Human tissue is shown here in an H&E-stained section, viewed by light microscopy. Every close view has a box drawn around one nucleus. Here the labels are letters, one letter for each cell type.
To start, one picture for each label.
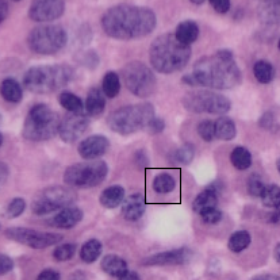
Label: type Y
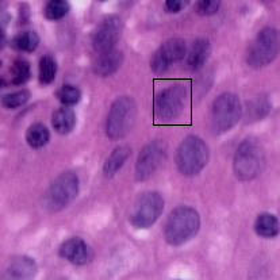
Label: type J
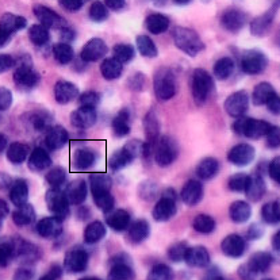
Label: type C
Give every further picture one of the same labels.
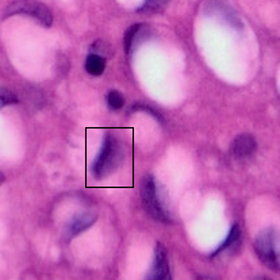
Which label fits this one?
type J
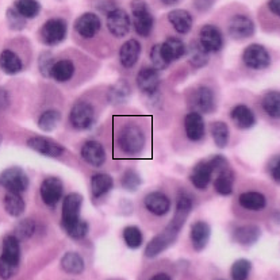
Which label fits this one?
type Y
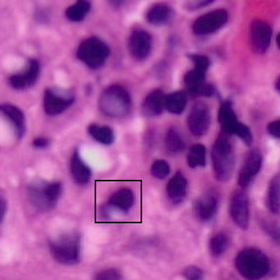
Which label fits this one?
type J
